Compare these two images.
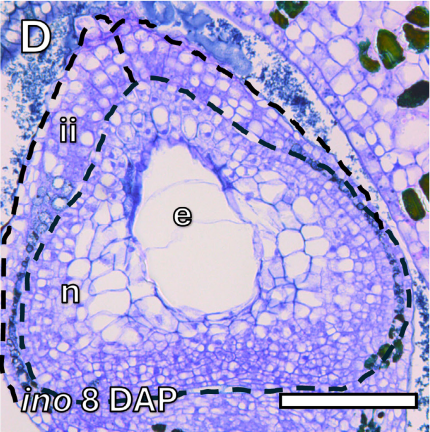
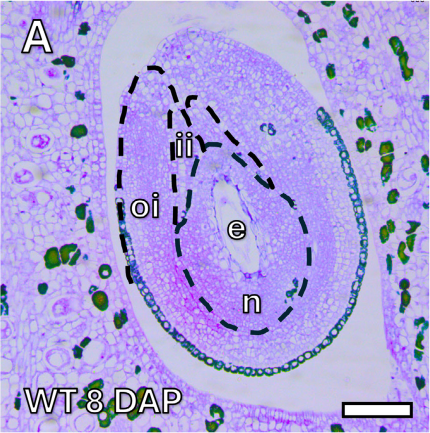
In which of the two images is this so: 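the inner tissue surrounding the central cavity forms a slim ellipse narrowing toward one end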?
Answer: The second image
